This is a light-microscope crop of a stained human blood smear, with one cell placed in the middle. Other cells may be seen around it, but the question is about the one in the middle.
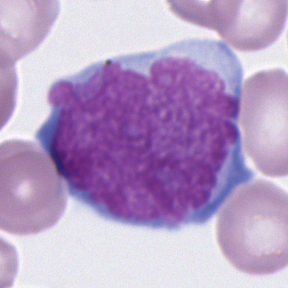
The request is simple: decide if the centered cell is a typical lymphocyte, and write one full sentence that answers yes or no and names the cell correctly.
No, the middle one is a myeloblast rather than a typical lymphocyte.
